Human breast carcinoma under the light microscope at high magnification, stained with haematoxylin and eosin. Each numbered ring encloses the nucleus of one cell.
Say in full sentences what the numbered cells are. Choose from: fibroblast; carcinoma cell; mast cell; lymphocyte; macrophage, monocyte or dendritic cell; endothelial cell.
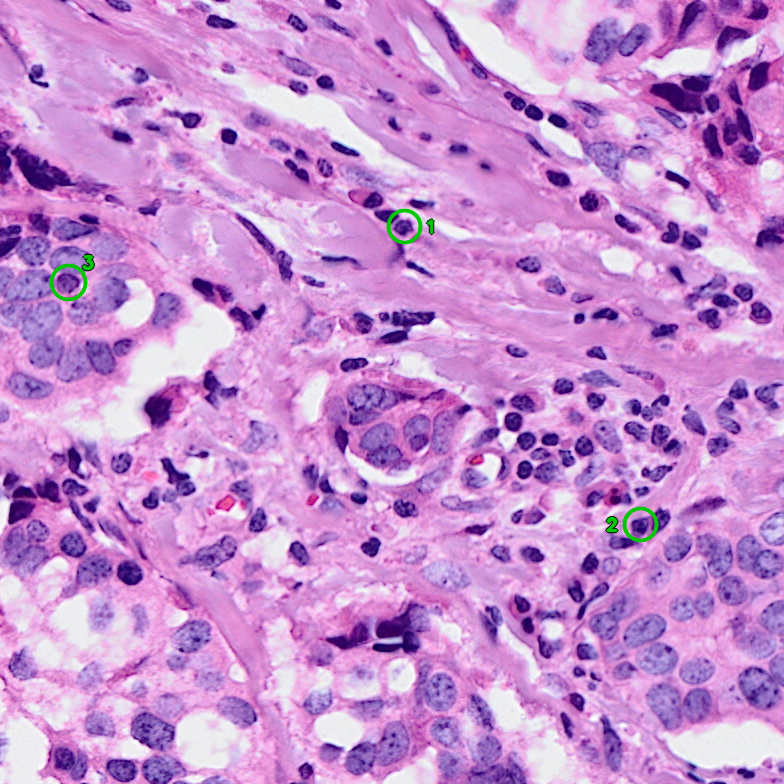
Cell 1 is a lymphocyte, cell 2 is a lymphocyte and cell 3 is a carcinoma cell.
